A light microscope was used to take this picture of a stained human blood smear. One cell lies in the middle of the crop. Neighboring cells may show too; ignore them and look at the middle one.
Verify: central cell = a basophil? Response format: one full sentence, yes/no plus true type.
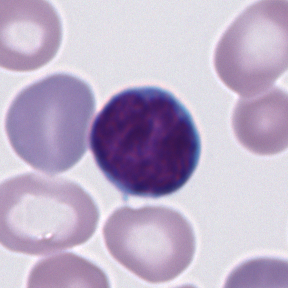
No, the middle cell is classified as a typical lymphocyte and not as a basophil.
